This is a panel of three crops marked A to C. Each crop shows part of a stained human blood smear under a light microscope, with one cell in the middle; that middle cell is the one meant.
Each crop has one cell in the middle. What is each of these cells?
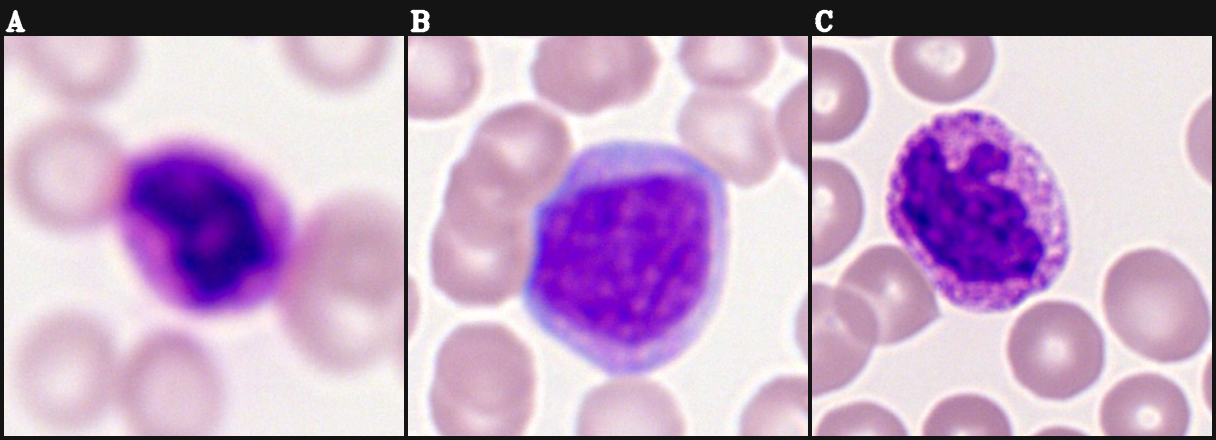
A: basophil
B: myeloblast
C: basophil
